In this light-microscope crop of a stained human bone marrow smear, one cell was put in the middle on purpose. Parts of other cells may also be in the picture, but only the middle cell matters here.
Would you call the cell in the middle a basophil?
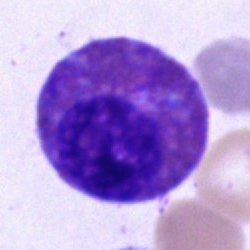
no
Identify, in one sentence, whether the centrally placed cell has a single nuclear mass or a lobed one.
Round, oval or kidney-shaped, the nucleus is one compact mass.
